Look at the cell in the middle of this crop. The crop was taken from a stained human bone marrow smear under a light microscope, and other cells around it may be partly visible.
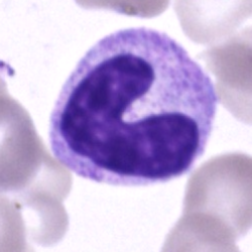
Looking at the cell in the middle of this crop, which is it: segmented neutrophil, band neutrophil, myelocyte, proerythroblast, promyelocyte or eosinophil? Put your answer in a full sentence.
The crop shows a band neutrophil in its centre.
